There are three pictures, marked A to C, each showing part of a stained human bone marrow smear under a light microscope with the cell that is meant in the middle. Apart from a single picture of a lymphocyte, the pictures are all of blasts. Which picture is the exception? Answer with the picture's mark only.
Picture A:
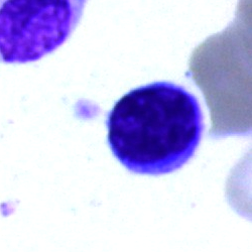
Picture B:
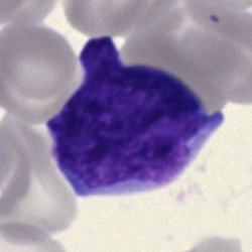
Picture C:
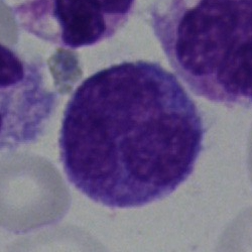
A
